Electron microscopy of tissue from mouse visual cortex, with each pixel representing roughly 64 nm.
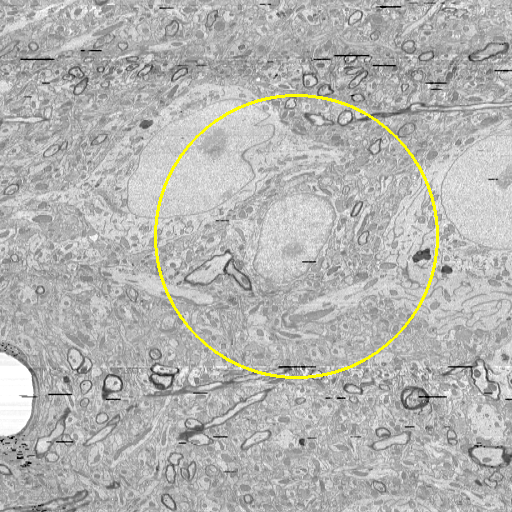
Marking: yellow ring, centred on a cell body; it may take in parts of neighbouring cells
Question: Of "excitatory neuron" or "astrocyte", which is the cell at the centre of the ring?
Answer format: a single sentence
The ring surrounds the body of an astrocyte.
